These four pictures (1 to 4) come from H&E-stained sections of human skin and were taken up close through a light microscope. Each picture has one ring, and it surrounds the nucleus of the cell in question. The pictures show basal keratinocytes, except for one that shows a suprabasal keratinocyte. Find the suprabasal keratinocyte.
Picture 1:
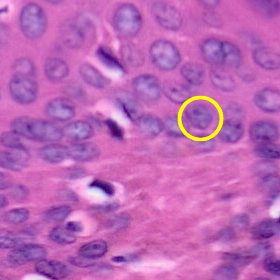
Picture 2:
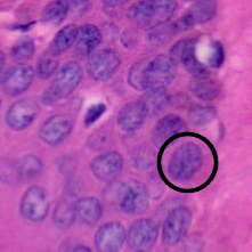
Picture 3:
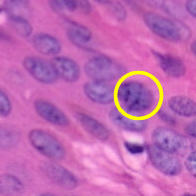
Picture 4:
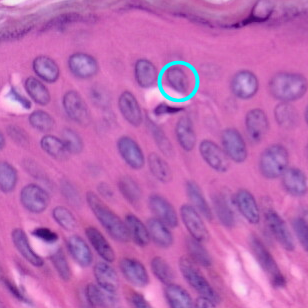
4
